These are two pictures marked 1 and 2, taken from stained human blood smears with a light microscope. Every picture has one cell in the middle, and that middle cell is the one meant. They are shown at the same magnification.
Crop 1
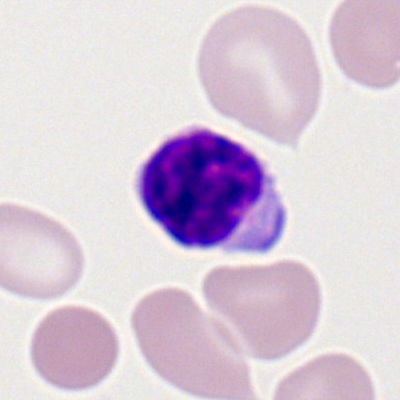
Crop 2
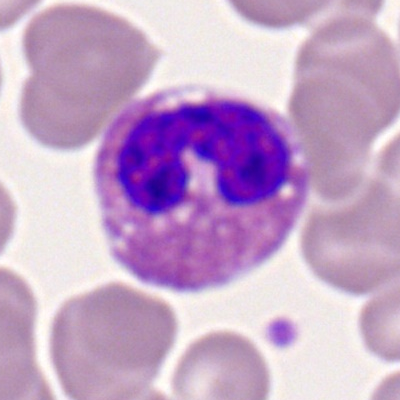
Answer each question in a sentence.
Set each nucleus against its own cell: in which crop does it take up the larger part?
The nucleus fills more of the cell in crop 1 than in crop 2.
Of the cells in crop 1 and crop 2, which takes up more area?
The cell in crop 2 is larger, with about 2 times the area of the one in crop 1.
